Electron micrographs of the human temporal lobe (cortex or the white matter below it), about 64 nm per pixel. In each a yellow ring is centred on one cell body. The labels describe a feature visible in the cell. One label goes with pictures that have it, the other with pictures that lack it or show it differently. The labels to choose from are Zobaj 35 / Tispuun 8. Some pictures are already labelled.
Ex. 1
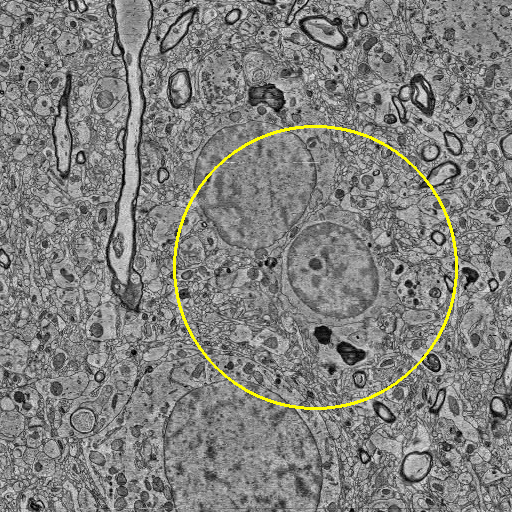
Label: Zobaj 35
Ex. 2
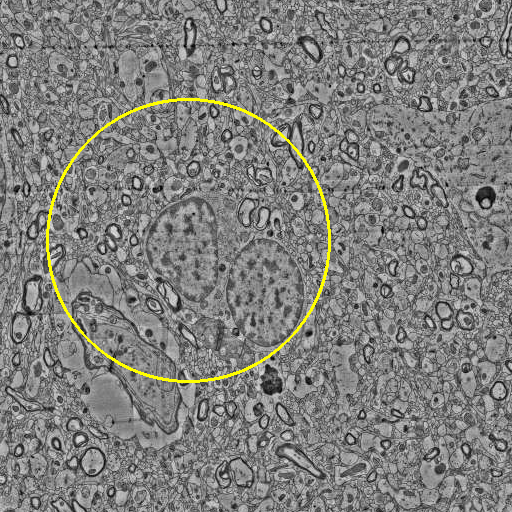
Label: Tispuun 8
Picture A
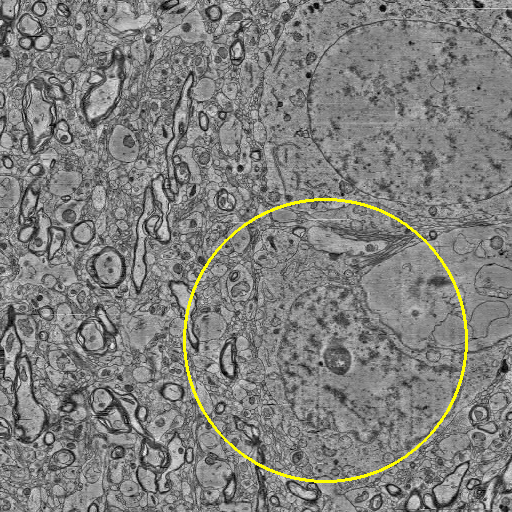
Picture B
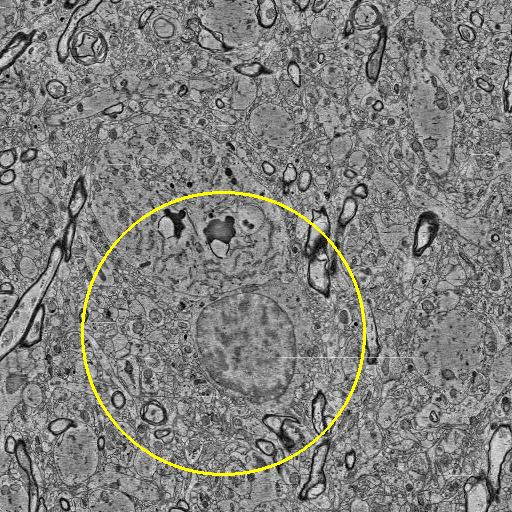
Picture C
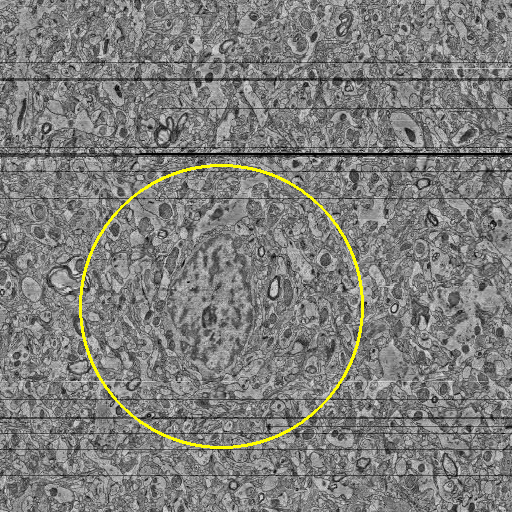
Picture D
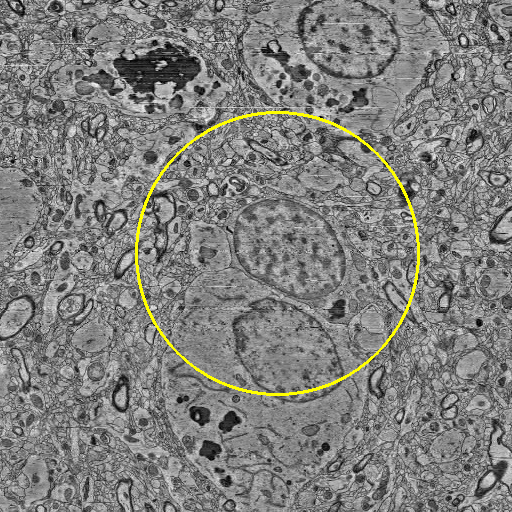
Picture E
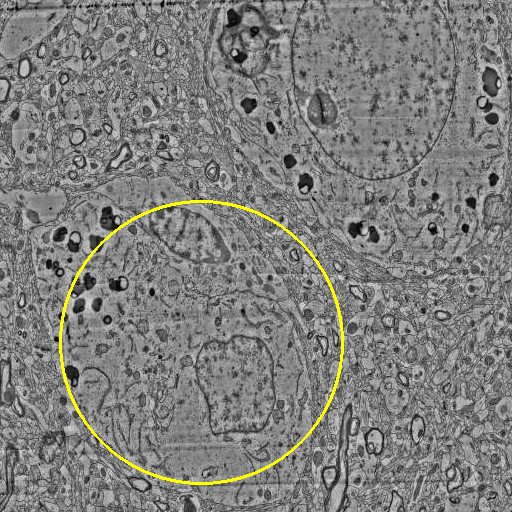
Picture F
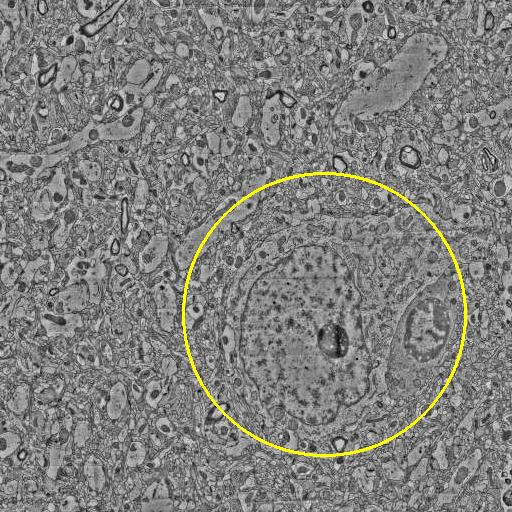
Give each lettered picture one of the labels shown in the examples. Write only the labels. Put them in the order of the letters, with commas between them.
Zobaj 35, Tispuun 8, Zobaj 35, Tispuun 8, Tispuun 8, Zobaj 35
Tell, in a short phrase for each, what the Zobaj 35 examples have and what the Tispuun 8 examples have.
Seen in Zobaj 35: nucleolus seen; seen in Tispuun 8: no nucleolus seen.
